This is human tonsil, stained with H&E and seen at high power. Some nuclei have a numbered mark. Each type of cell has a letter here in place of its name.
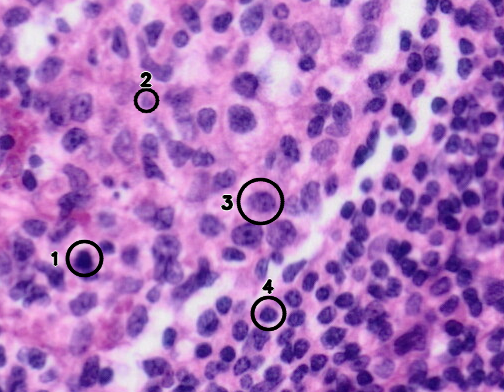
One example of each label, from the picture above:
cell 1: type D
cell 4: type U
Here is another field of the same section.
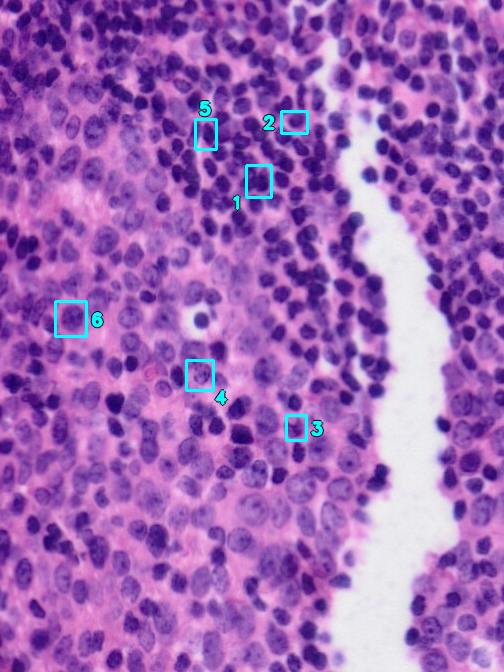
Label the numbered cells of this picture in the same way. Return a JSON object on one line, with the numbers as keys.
{"1": "type U", "2": "type U", "3": "type D", "4": "type D", "5": "type U", "6": "type D"}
